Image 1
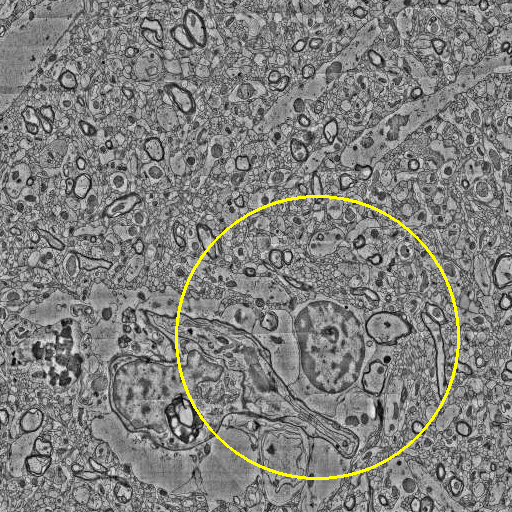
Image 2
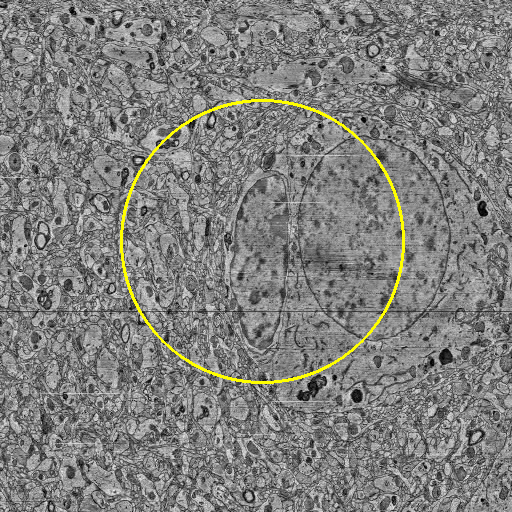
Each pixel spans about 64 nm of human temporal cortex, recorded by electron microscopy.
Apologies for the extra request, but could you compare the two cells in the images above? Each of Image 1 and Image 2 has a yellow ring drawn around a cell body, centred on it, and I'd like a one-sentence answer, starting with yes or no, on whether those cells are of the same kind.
Yes, both cells are of the same kind.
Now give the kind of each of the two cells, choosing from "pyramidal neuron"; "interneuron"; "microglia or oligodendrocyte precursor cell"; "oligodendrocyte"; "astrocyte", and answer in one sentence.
Both pictures show a microglial cell or oligodendrocyte precursor cell at the centre of the ring.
